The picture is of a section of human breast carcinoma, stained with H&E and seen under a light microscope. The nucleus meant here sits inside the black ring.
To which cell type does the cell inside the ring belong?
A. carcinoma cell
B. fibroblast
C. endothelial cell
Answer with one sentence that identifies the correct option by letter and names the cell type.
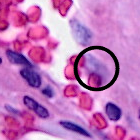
It is option C that correctly calls the cell inside the ring an endothelial cell.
